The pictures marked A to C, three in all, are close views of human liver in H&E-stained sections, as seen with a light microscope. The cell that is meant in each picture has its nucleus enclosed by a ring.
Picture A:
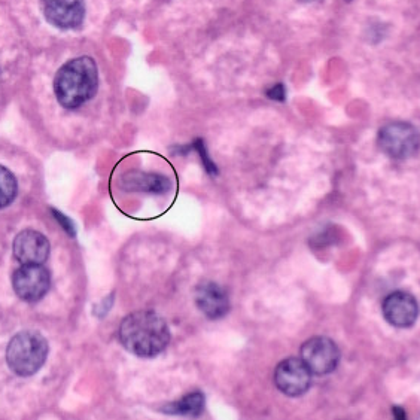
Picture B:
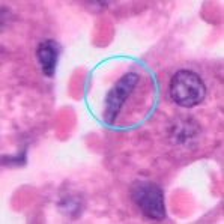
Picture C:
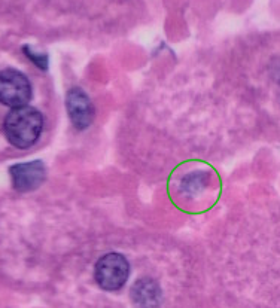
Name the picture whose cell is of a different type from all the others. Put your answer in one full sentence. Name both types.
Unlike the rest, which show Kupffer cells, picture C shows an endothelial cell.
